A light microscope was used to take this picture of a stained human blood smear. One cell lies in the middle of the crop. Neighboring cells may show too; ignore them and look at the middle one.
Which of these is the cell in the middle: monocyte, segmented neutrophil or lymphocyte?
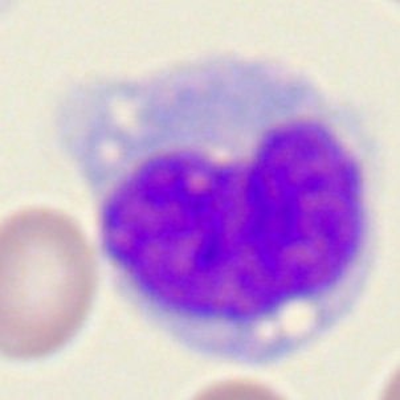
monocyte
